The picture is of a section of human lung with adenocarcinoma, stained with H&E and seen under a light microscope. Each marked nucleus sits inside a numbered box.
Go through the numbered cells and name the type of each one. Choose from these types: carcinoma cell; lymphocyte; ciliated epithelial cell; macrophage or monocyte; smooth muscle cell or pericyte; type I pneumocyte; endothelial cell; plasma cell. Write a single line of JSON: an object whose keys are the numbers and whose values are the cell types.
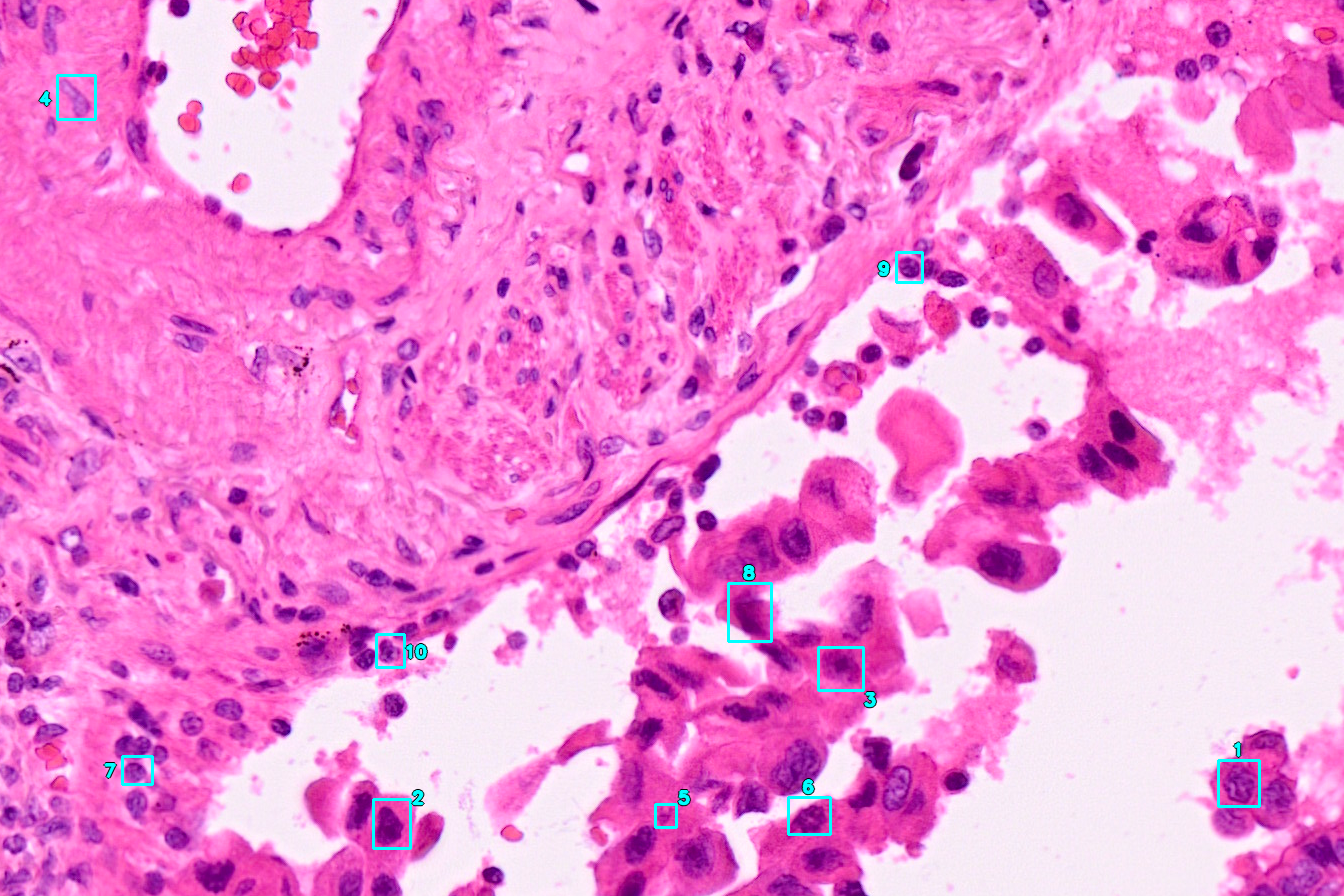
{"1": "carcinoma cell", "2": "carcinoma cell", "3": "carcinoma cell", "4": "smooth muscle cell or pericyte", "5": "carcinoma cell", "6": "carcinoma cell", "7": "lymphocyte", "8": "carcinoma cell", "9": "lymphocyte", "10": "lymphocyte"}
